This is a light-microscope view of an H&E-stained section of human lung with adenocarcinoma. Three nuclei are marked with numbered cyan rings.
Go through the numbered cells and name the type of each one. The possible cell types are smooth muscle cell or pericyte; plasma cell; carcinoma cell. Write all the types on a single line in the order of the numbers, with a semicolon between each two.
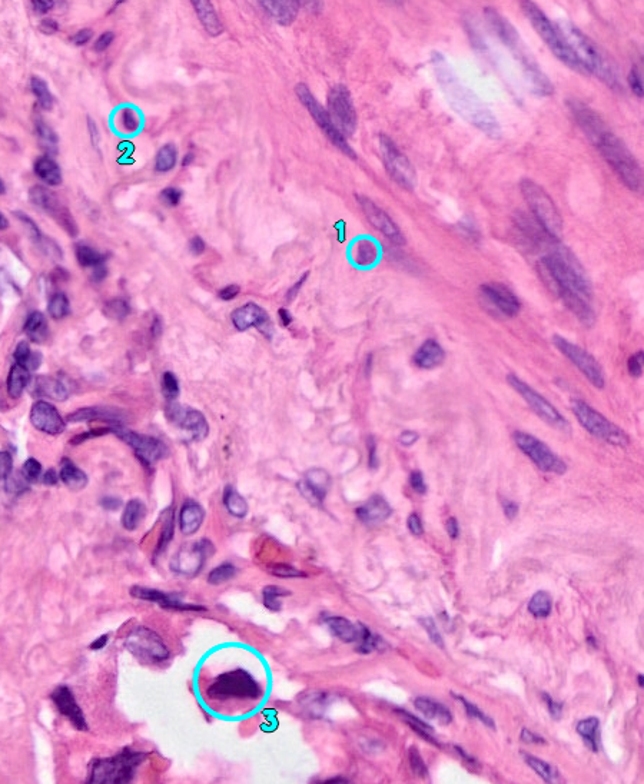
smooth muscle cell or pericyte; smooth muscle cell or pericyte; carcinoma cell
